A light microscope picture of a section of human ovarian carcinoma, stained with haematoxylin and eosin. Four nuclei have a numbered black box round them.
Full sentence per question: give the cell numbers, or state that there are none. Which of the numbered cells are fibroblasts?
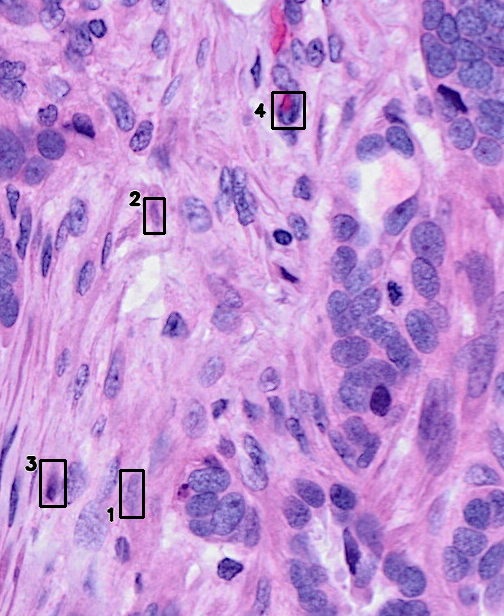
Classified as fibroblasts are the cells numbered 1, 2 and 3.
